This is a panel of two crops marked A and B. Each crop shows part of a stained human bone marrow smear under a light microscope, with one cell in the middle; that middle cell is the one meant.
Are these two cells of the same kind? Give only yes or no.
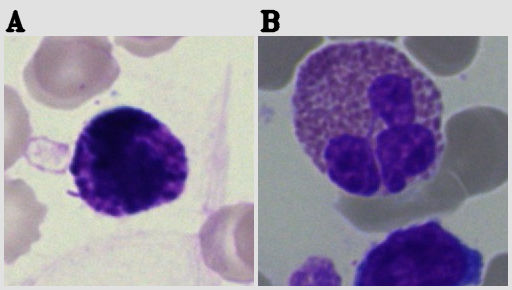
no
